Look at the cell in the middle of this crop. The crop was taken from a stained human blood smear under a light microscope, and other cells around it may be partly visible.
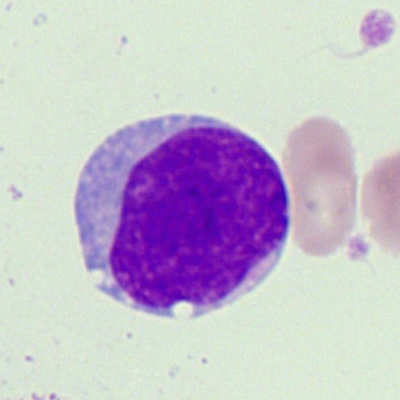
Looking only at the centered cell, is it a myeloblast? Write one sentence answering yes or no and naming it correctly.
Yes, the cell at the middle of the frame is a myeloblast.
